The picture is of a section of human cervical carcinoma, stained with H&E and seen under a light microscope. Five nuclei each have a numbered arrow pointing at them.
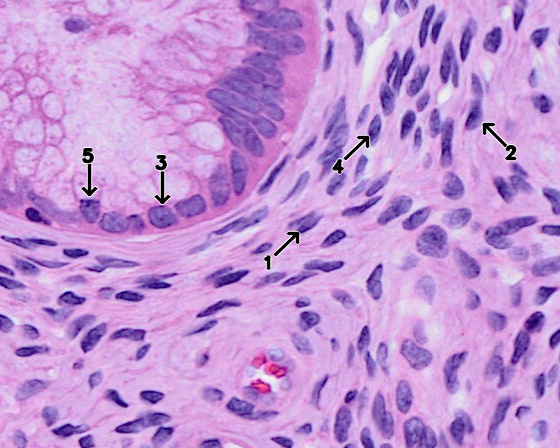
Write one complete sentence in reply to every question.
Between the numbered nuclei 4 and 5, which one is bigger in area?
Nucleus 5 covers more area, about 1.5 times as much as nucleus 4.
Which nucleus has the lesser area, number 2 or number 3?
Number 2 is smaller, since number 3 takes up about 1.5 times as much area.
